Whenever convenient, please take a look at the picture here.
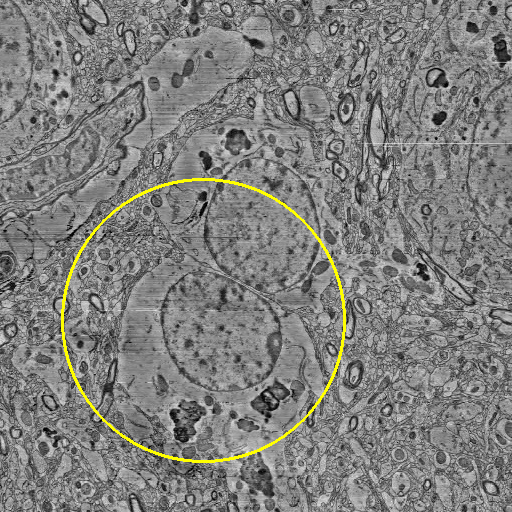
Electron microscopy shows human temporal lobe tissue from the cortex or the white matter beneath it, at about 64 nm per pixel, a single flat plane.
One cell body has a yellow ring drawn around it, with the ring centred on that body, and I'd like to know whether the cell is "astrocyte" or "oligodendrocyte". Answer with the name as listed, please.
astrocyte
